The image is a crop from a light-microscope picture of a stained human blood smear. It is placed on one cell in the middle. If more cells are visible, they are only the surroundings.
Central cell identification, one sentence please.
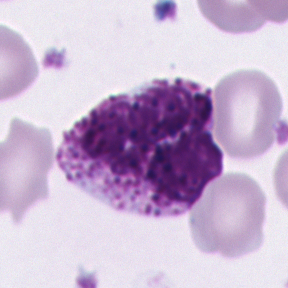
For this crop, the cell in the middle is a basophil.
